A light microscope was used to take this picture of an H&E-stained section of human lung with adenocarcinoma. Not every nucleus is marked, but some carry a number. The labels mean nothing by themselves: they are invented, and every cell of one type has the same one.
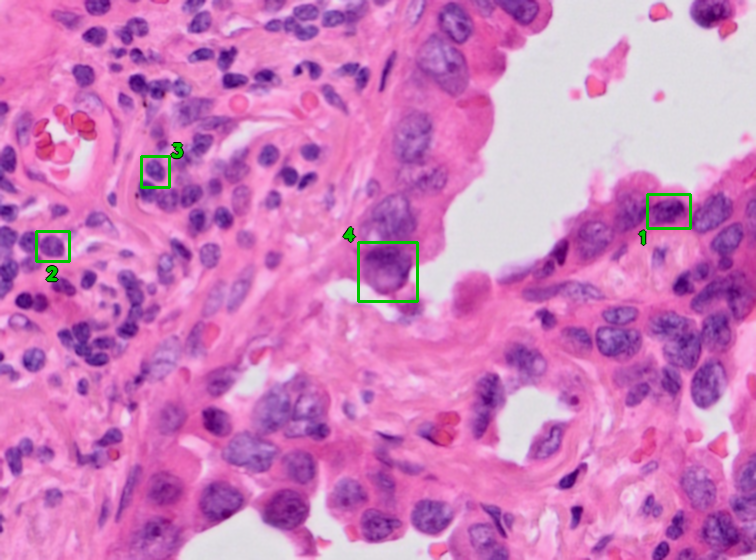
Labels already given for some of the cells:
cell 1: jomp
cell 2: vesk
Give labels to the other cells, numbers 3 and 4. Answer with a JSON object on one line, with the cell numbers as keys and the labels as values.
{"3": "vesk", "4": "jomp"}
